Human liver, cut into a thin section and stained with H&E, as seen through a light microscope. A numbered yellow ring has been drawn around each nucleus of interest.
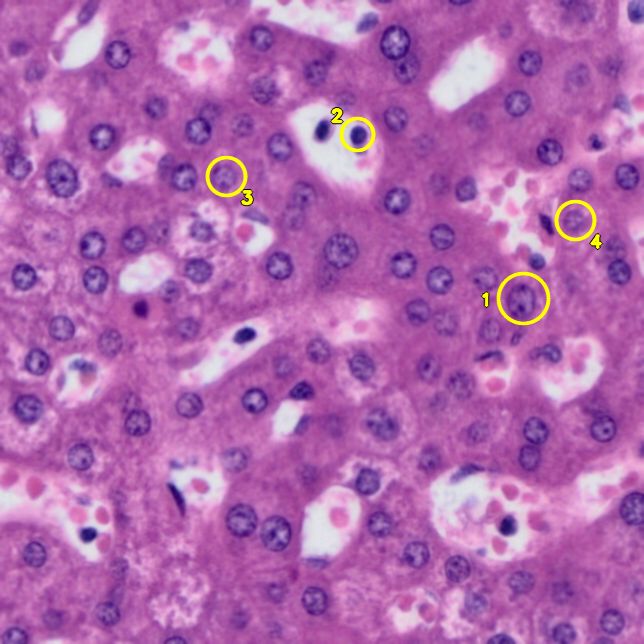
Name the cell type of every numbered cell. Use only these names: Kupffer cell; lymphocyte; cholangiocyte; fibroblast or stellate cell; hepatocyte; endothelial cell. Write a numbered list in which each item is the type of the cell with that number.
1. hepatocyte
2. lymphocyte
3. hepatocyte
4. hepatocyte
